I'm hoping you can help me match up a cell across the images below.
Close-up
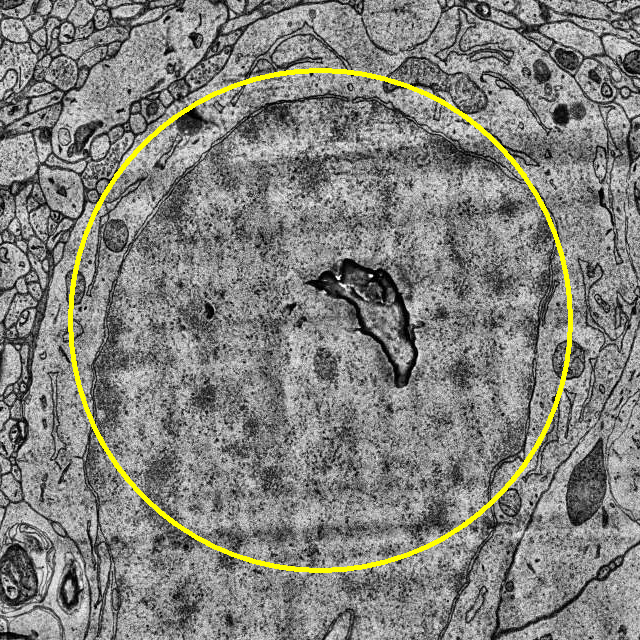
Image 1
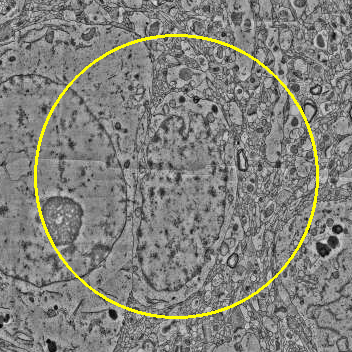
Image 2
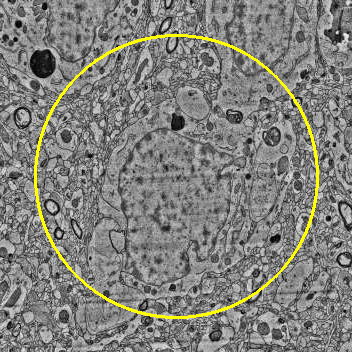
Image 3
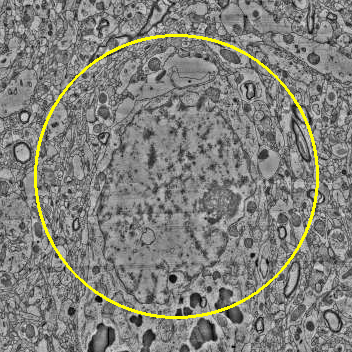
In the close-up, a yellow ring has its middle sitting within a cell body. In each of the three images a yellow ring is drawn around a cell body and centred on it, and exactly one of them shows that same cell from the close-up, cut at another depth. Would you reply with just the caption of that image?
Image 2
